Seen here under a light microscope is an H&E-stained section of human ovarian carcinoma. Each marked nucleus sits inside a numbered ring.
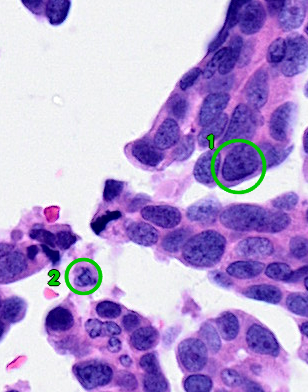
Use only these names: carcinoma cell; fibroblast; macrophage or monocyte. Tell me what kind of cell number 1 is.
carcinoma cell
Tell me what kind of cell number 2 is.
macrophage or monocyte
